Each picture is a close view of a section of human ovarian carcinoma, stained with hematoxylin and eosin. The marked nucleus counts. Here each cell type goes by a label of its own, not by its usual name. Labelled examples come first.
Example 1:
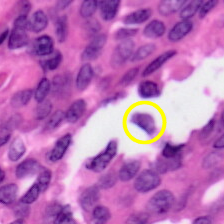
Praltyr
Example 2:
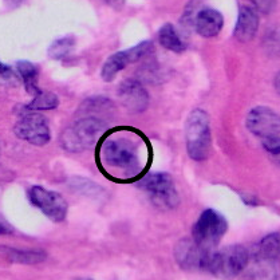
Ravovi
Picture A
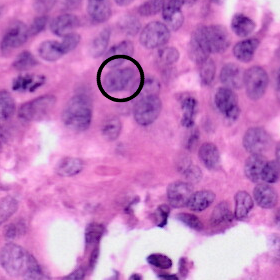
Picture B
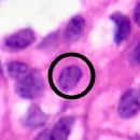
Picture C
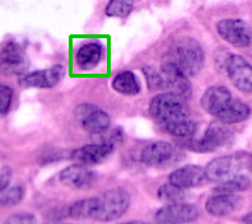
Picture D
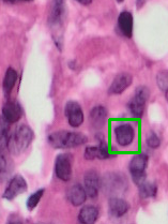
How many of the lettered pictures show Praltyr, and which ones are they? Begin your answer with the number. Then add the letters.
Count: 1 (A)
